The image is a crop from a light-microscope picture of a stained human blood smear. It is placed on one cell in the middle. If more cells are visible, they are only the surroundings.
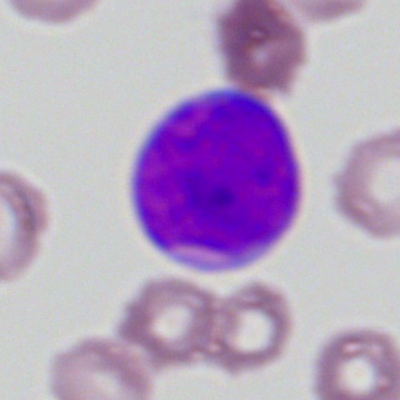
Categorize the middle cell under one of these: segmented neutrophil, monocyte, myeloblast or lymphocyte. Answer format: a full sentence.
This crop is built around a myeloblast at its centre.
